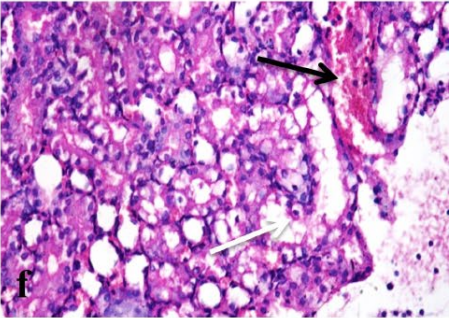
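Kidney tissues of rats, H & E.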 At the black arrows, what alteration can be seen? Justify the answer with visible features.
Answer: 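A vessel between tubules is packed with red-staining red blood cells. On this evidence: congestion of interstitial blood vessels.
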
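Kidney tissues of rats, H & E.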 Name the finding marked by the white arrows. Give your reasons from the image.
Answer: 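Vacuolar degeneration of tubular epithelium. Tubular epithelial cells contain many clear round vacuoles. The cytoplasm of these tubules looks foamy and pale.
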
